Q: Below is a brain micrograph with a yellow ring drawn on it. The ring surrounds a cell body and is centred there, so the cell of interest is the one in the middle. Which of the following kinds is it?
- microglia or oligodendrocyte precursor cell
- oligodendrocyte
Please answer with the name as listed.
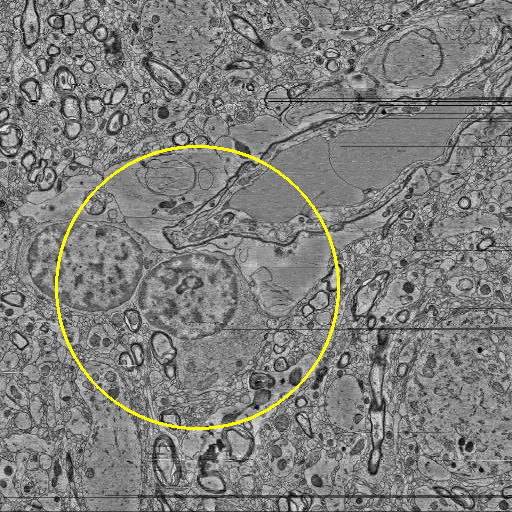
oligodendrocyte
